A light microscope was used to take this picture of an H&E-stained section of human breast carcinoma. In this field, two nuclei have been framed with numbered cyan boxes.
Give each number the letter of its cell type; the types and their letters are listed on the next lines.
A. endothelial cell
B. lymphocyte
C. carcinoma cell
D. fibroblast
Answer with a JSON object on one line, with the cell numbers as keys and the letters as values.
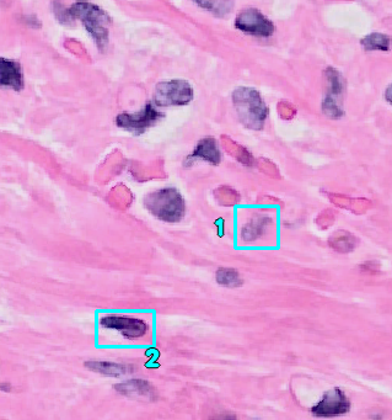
{"1": "A", "2": "B"}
